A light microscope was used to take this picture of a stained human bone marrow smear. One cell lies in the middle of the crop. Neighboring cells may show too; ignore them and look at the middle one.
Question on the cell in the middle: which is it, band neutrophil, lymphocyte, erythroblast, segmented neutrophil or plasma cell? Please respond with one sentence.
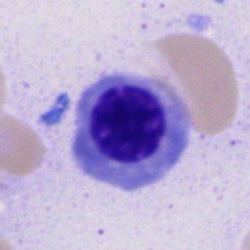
As for the cell in the middle, it is an erythroblast.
